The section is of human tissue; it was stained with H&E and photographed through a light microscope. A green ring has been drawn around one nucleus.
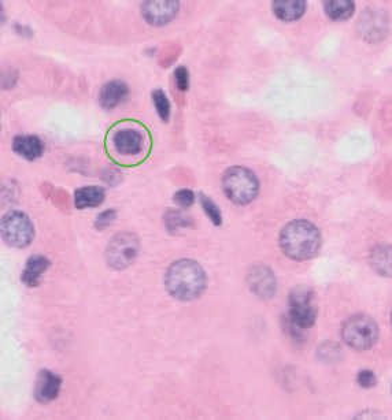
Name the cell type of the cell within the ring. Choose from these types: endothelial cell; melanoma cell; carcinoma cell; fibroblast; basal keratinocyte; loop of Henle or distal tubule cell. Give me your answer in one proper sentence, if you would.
Microscopically, the cell within the ring is categorized as a loop of Henle or distal tubule cell.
